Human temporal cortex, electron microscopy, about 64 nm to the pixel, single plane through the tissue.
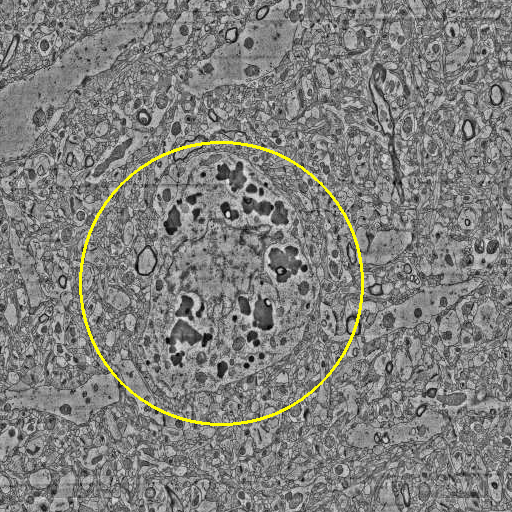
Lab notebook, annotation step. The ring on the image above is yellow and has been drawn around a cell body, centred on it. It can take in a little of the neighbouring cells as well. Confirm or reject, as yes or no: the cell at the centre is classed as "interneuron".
Yes, confirmed for that class.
